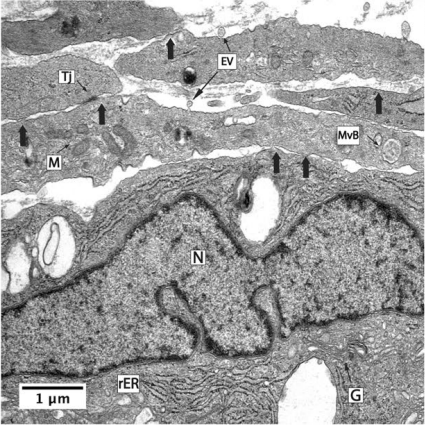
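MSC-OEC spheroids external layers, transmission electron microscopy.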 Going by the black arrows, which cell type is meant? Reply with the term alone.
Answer: elongated cells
